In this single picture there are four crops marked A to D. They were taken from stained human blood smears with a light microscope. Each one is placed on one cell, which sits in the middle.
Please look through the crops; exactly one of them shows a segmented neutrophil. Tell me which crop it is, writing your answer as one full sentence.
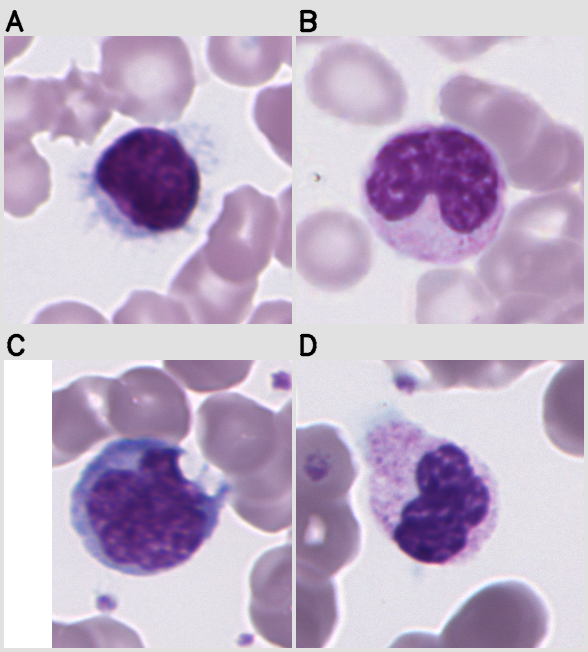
Crop D is the crop containing a segmented neutrophil.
